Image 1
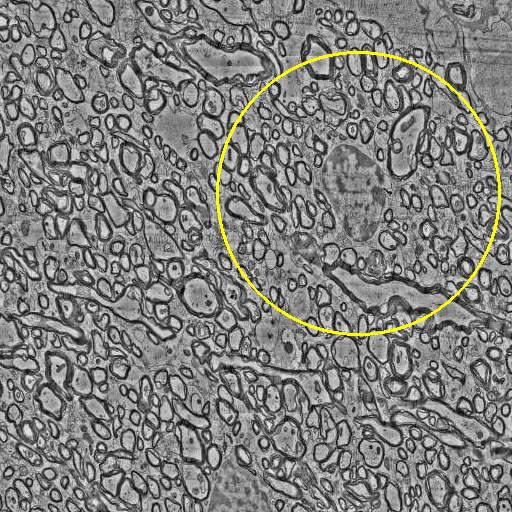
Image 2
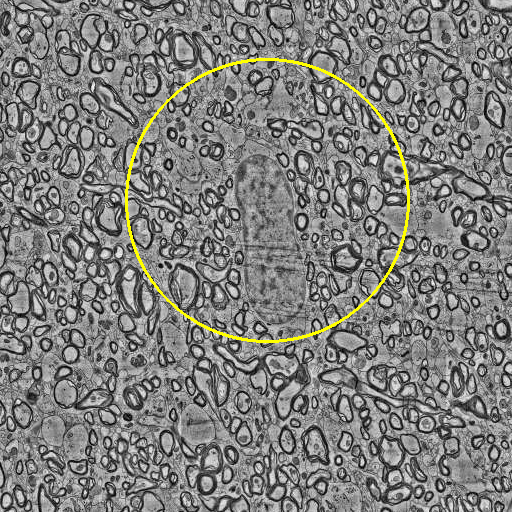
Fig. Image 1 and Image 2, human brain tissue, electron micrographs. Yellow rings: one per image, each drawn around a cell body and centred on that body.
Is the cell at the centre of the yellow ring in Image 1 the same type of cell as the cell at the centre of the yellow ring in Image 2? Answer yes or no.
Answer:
yes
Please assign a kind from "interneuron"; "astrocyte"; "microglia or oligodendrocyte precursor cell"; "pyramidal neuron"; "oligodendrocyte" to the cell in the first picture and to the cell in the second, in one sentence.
Each of the two rings is centred on a microglial cell or oligodendrocyte precursor cell.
